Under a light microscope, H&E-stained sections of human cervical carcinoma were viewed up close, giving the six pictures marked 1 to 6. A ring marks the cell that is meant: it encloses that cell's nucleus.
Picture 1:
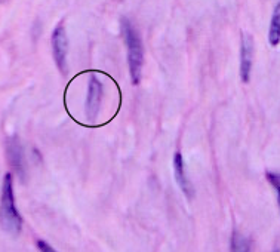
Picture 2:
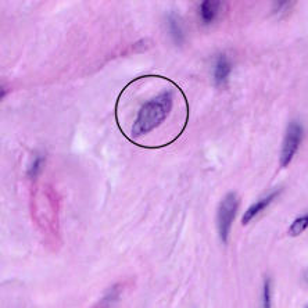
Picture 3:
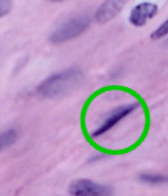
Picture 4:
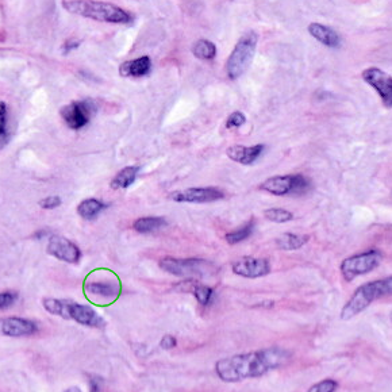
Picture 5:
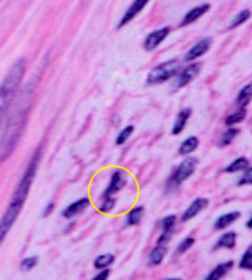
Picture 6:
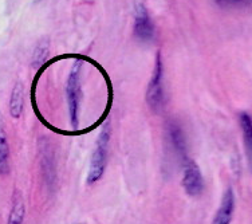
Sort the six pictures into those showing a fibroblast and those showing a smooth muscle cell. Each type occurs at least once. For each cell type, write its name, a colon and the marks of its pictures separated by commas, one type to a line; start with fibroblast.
fibroblast: 1, 2, 3, 6
smooth muscle cell: 4, 5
